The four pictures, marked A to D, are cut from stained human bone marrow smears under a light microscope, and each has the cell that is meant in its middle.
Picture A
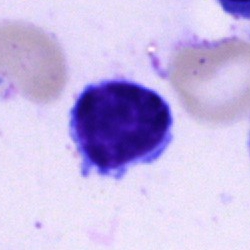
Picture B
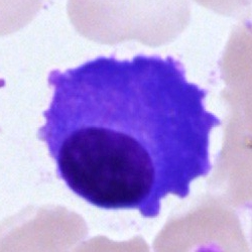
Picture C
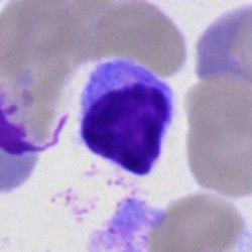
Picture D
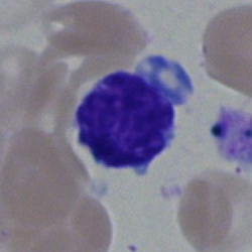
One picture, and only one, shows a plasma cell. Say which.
B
